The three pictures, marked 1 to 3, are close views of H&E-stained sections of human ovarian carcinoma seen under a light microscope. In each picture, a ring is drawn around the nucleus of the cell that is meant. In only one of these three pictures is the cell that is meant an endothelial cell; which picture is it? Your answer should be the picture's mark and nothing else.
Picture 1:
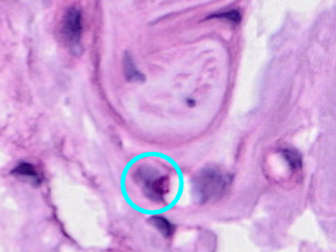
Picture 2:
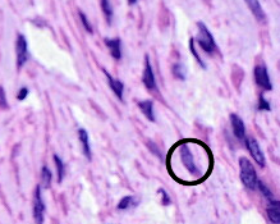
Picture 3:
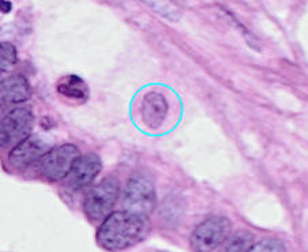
1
